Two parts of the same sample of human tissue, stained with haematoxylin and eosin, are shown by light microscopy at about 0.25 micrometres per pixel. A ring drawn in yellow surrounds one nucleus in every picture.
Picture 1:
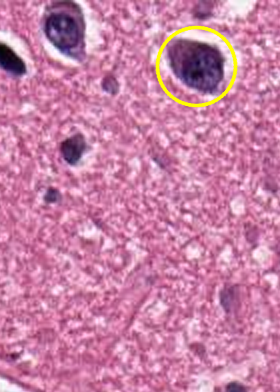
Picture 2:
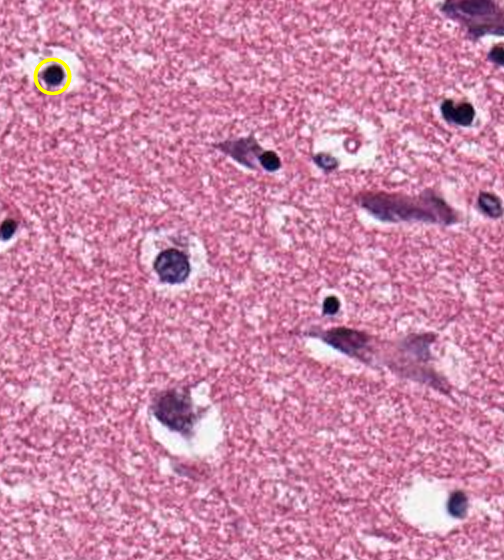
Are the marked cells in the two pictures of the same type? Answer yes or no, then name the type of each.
No, the first is a neuron and the second an oligodendrocyte.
